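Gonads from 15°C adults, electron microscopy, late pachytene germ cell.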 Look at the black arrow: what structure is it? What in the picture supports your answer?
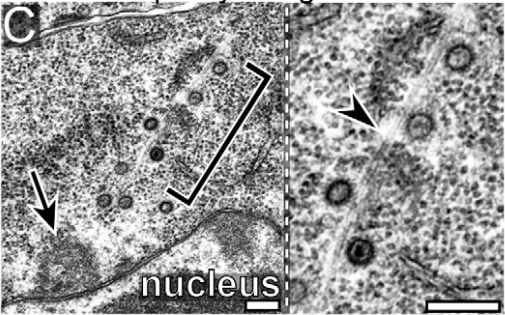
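The arrow points to a patch of moderately dense, finely fibrous material without a membrane. The patch sits against the outer side of the nuclear envelope. That points to this answer: P granules.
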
